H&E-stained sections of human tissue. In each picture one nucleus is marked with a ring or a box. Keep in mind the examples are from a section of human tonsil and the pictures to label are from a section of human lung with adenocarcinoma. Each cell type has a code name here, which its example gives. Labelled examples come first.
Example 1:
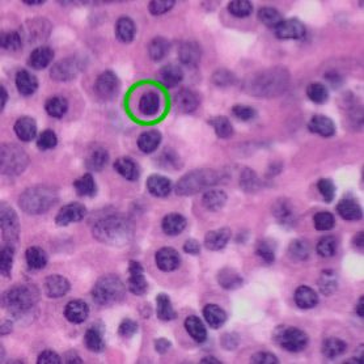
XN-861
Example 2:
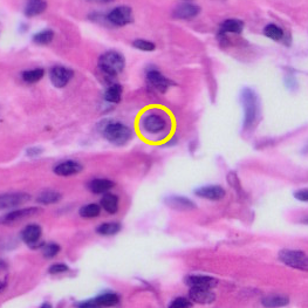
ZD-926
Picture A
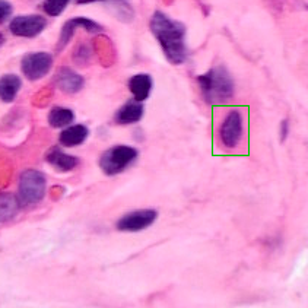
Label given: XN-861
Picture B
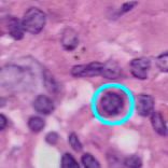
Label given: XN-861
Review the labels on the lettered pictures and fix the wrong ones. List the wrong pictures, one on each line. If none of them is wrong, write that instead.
A is labelled XN-861; correct label: ZD-926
